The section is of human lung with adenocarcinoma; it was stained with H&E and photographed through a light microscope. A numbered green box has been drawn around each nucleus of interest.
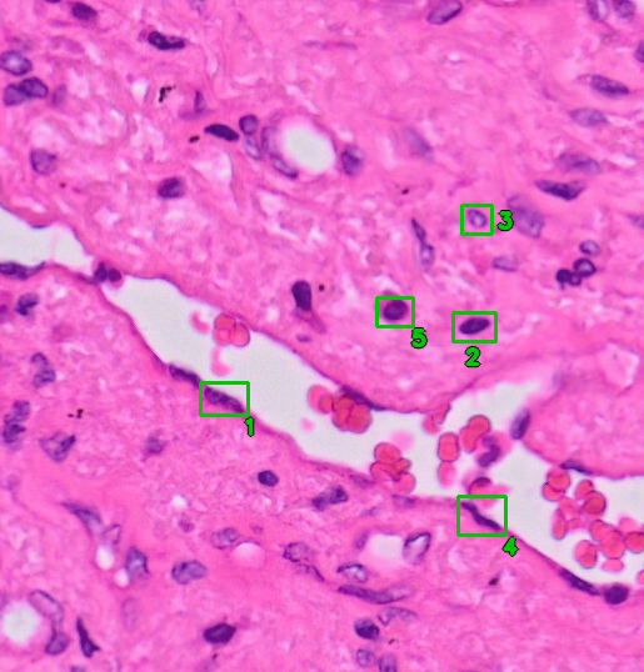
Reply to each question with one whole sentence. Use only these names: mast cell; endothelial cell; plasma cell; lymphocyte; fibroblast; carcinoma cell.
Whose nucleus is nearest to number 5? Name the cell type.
The nucleus nearest to number 5 is that of a fibroblast.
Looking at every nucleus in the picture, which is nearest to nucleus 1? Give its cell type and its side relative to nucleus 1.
The nearest nucleus is that of an endothelial cell and lies above and to the left of nucleus 1.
